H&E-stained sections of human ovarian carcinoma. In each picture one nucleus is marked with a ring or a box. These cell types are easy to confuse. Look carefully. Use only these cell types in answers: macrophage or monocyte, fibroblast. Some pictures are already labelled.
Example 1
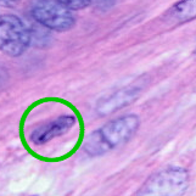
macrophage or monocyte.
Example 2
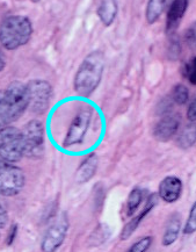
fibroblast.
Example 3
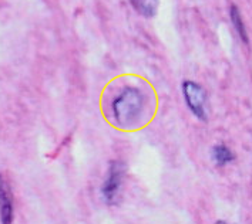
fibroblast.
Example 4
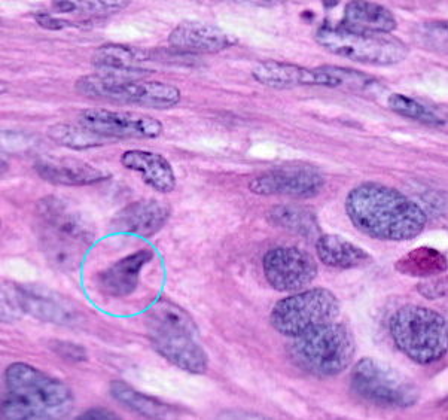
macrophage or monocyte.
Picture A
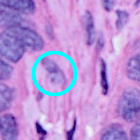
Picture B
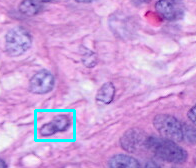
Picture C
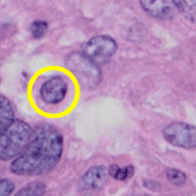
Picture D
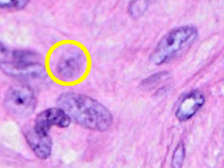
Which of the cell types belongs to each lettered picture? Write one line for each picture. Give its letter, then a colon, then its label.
A: fibroblast.
B: fibroblast.
C: macrophage or monocyte.
D: fibroblast.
